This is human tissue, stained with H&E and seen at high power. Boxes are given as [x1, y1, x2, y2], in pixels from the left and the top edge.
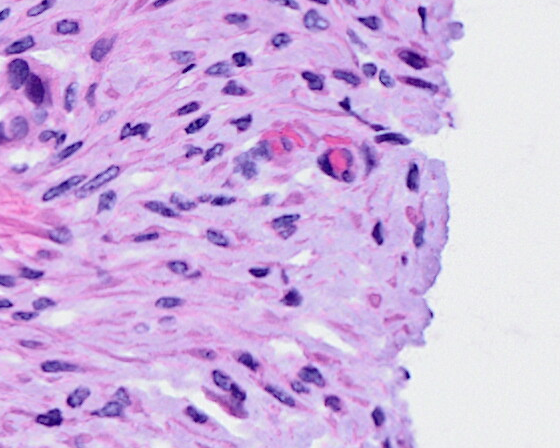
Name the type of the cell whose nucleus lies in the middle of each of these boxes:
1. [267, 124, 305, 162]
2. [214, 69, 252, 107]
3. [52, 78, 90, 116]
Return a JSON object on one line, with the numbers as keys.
{"1": "endothelial cell", "2": "fibroblast", "3": "fibroblast"}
